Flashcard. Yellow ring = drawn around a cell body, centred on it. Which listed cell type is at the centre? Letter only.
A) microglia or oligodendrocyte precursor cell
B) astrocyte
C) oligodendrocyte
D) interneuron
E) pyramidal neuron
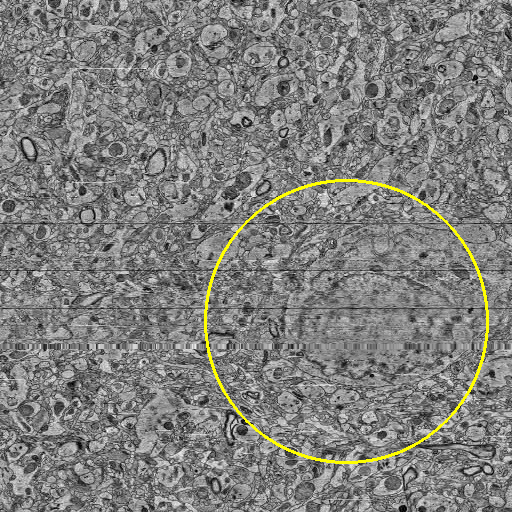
D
